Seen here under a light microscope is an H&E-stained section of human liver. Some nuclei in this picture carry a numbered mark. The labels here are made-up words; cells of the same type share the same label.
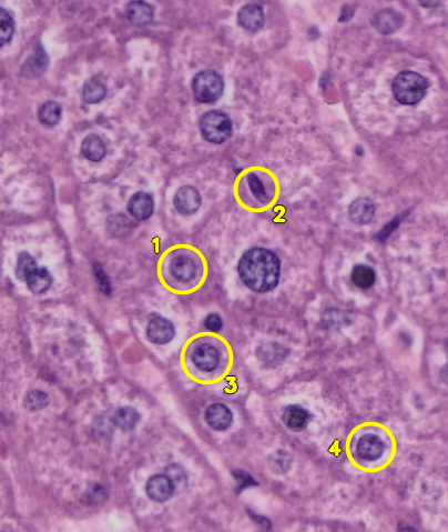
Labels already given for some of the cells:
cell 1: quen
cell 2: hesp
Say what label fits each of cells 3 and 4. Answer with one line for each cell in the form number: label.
3: quen
4: quen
